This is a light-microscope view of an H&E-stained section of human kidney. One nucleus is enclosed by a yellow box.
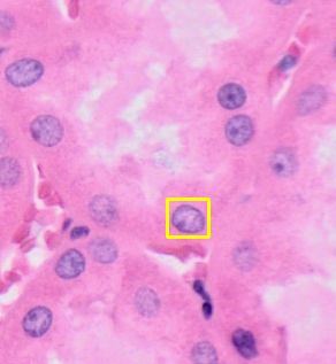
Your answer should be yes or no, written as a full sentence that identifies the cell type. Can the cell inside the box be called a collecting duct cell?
No, kindly revise that, as the cell inside the box is a proximal tubule cell rather than a collecting duct cell.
